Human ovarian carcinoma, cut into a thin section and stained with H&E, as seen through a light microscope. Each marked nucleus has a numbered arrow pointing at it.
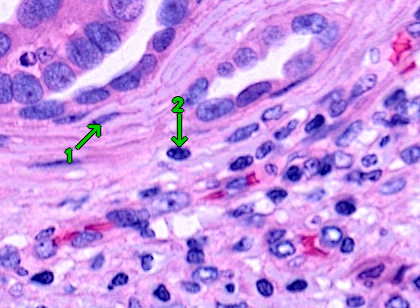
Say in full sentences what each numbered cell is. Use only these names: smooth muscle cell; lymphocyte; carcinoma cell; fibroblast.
Cell 1 is a fibroblast. Cell 2 is a lymphocyte.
